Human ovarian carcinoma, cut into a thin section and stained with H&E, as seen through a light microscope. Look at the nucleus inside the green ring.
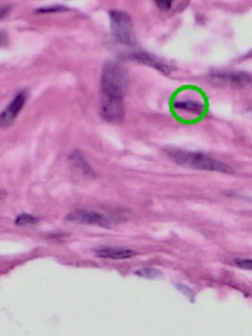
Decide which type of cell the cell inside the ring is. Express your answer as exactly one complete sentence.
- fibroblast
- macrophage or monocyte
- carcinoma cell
It is a fibroblast that the cell inside the ring represents.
